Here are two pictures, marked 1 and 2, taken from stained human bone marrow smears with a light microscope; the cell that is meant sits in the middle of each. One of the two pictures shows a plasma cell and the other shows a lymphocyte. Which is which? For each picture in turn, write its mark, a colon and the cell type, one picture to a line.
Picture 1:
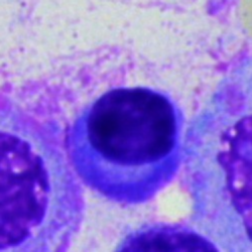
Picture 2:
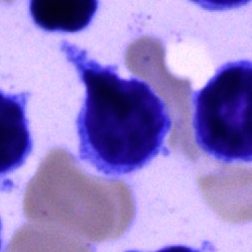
1: plasma cell
2: lymphocyte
